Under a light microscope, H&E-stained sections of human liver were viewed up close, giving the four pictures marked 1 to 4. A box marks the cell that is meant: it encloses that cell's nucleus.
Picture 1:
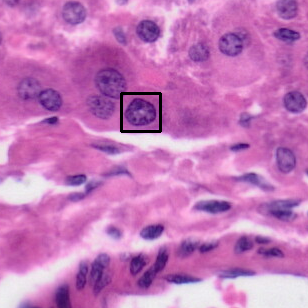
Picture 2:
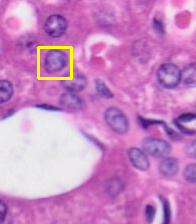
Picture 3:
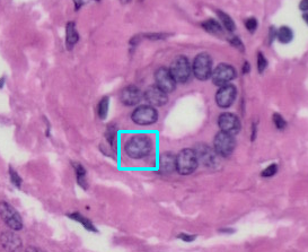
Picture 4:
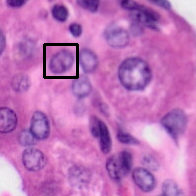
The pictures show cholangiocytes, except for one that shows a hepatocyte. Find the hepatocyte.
1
